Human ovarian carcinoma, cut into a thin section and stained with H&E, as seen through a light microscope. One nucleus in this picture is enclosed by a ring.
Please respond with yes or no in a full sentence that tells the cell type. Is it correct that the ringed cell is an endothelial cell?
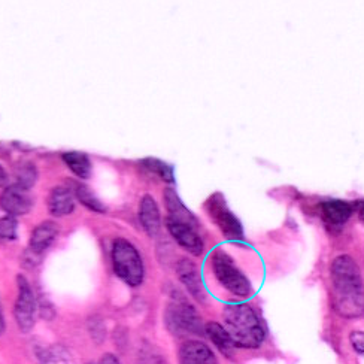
No, the ringed cell represents a carcinoma cell and does not represent an endothelial cell.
